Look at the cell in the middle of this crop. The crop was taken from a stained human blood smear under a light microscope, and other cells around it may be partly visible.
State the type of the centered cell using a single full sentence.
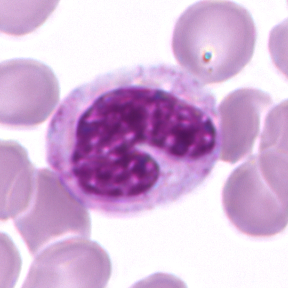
The cell in the middle of this crop is a band neutrophil.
